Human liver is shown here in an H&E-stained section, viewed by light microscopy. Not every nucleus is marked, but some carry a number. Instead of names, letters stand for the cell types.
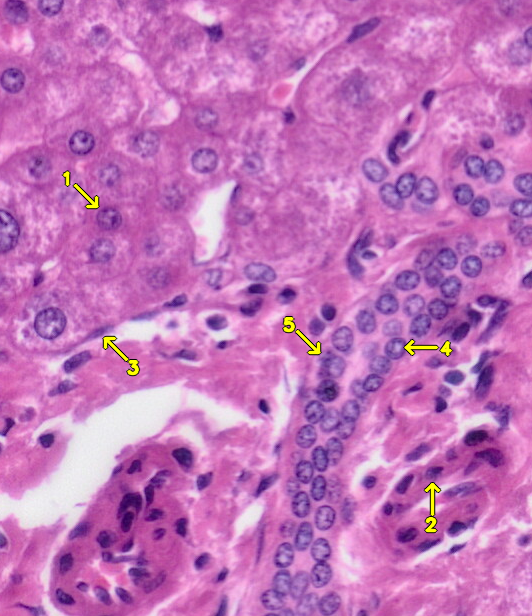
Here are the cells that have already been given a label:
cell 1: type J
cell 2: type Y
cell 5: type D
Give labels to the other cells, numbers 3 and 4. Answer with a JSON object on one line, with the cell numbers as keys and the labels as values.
{"3": "type Y", "4": "type D"}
